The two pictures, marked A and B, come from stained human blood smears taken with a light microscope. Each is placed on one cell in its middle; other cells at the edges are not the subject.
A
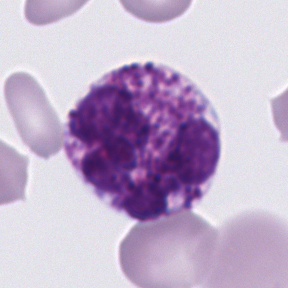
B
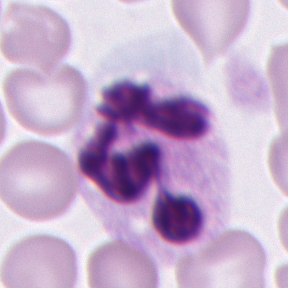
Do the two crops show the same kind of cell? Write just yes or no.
no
